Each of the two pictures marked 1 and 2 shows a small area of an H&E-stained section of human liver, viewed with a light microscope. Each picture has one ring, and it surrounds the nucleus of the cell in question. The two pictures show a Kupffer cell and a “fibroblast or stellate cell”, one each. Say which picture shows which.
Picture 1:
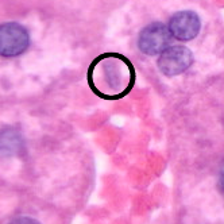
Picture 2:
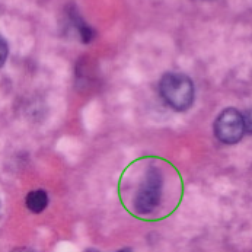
1: Kupffer cell
2: fibroblast or stellate cell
